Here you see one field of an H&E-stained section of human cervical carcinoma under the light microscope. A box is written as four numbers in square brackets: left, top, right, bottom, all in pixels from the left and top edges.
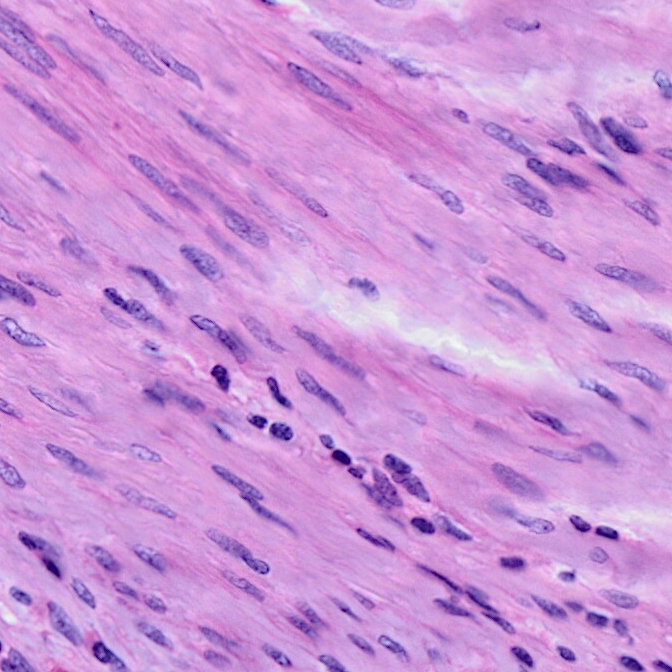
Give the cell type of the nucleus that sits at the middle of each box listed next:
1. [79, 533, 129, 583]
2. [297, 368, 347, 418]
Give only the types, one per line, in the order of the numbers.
smooth muscle cell
fibroblast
